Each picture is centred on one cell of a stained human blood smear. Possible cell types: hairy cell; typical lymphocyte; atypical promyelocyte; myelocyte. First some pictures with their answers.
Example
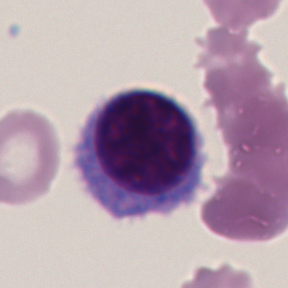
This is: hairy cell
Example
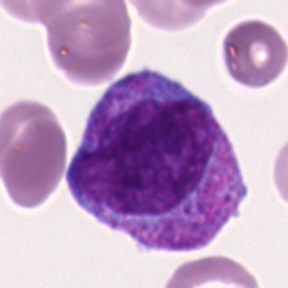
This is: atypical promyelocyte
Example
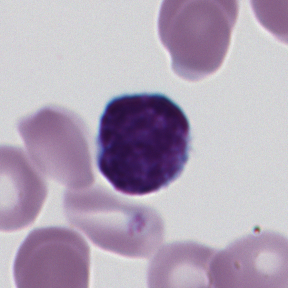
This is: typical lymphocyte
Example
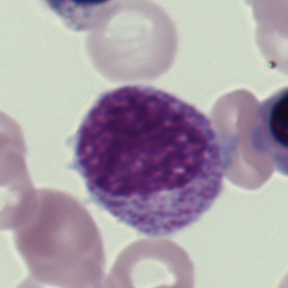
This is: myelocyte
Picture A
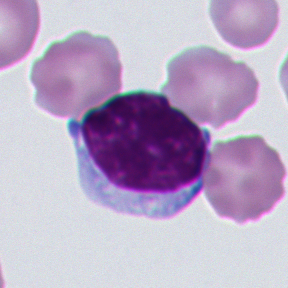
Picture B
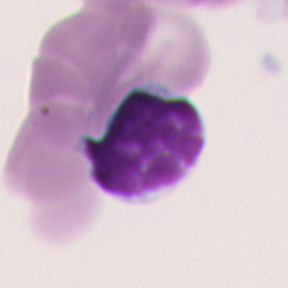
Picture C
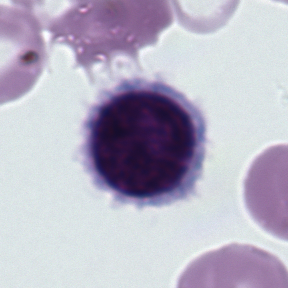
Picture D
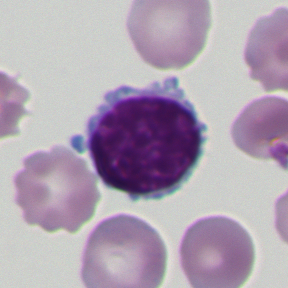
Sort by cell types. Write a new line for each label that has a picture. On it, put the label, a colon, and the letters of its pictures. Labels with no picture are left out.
hairy cell: C
typical lymphocyte: A, B, D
